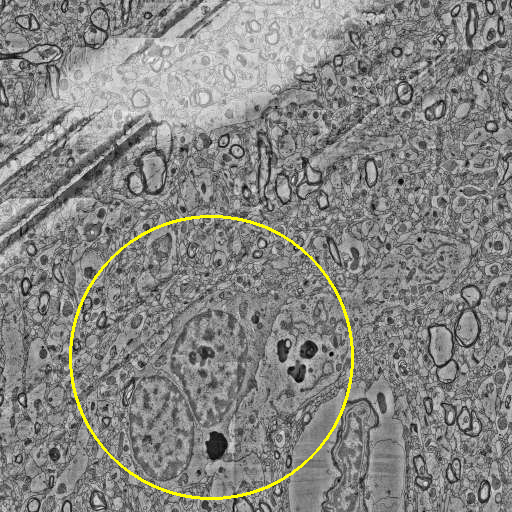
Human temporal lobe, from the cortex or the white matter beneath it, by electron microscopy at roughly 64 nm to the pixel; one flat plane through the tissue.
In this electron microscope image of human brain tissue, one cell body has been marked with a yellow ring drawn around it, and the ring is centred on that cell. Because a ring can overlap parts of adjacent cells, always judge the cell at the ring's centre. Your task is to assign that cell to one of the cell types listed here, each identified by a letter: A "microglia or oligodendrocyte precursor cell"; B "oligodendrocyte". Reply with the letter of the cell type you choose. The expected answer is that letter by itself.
B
